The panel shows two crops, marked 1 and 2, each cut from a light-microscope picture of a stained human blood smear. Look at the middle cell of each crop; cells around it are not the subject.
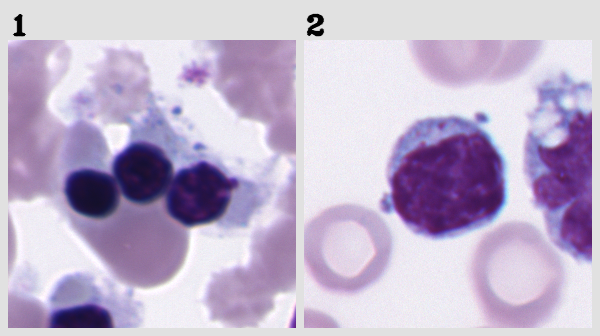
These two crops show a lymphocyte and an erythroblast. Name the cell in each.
1: erythroblast
2: lymphocyte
